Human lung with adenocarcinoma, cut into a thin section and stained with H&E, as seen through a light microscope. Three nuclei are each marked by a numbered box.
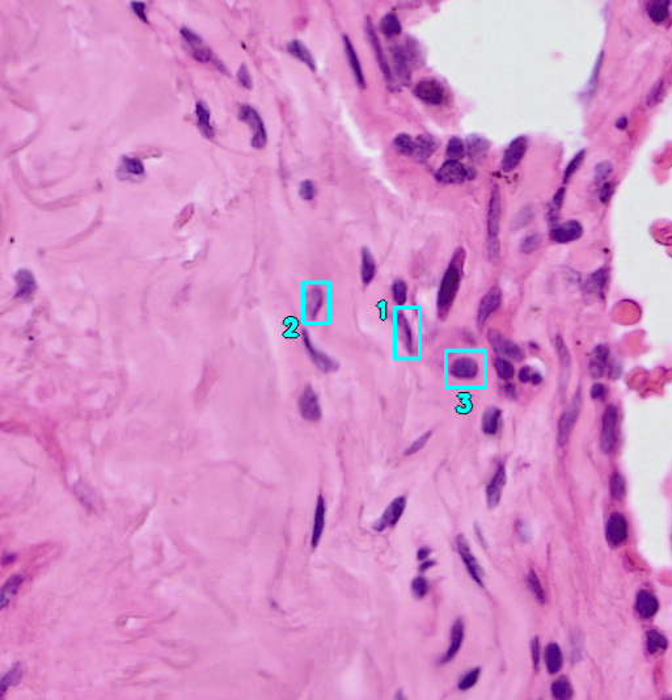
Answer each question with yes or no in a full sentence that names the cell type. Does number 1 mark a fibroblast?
Yes, cell number 1 is classified as a fibroblast.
